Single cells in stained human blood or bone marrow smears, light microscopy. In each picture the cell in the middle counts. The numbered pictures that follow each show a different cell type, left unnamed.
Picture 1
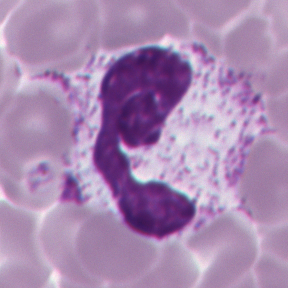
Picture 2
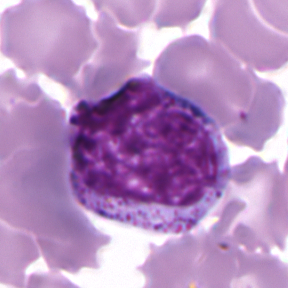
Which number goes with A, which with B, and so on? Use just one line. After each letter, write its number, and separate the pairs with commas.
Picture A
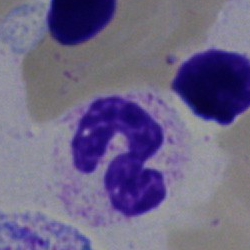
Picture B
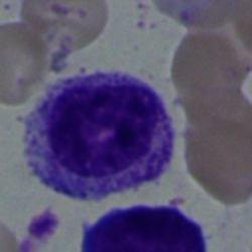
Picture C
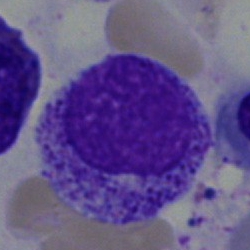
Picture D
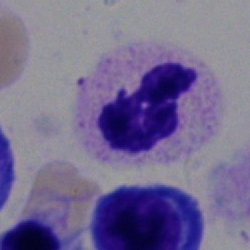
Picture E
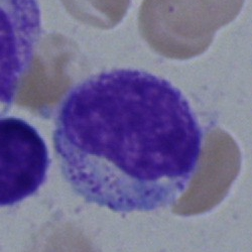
A 1, B 2, C 2, D 1, E 2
